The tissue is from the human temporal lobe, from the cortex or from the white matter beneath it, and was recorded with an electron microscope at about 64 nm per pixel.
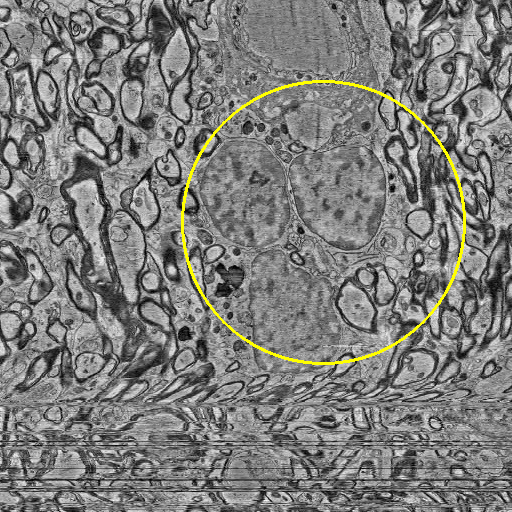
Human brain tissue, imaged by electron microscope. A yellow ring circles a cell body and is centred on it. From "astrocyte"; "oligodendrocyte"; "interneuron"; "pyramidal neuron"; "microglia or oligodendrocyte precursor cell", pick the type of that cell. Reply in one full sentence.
The cell body at the centre of the yellow ring belongs to a microglial cell or oligodendrocyte precursor cell.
